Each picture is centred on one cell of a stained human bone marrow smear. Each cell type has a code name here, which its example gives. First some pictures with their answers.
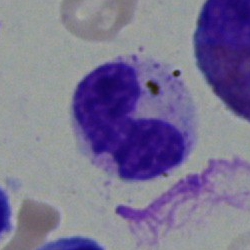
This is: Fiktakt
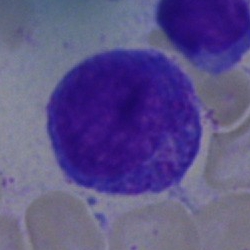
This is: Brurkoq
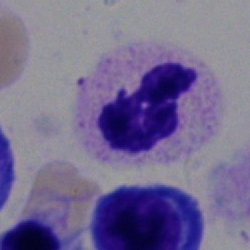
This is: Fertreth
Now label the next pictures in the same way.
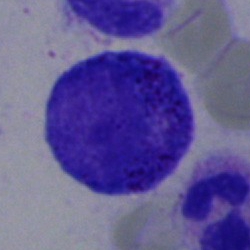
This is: Brurkoq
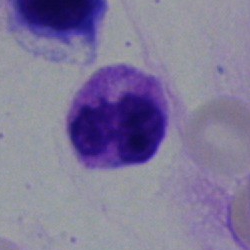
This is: Fertreth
